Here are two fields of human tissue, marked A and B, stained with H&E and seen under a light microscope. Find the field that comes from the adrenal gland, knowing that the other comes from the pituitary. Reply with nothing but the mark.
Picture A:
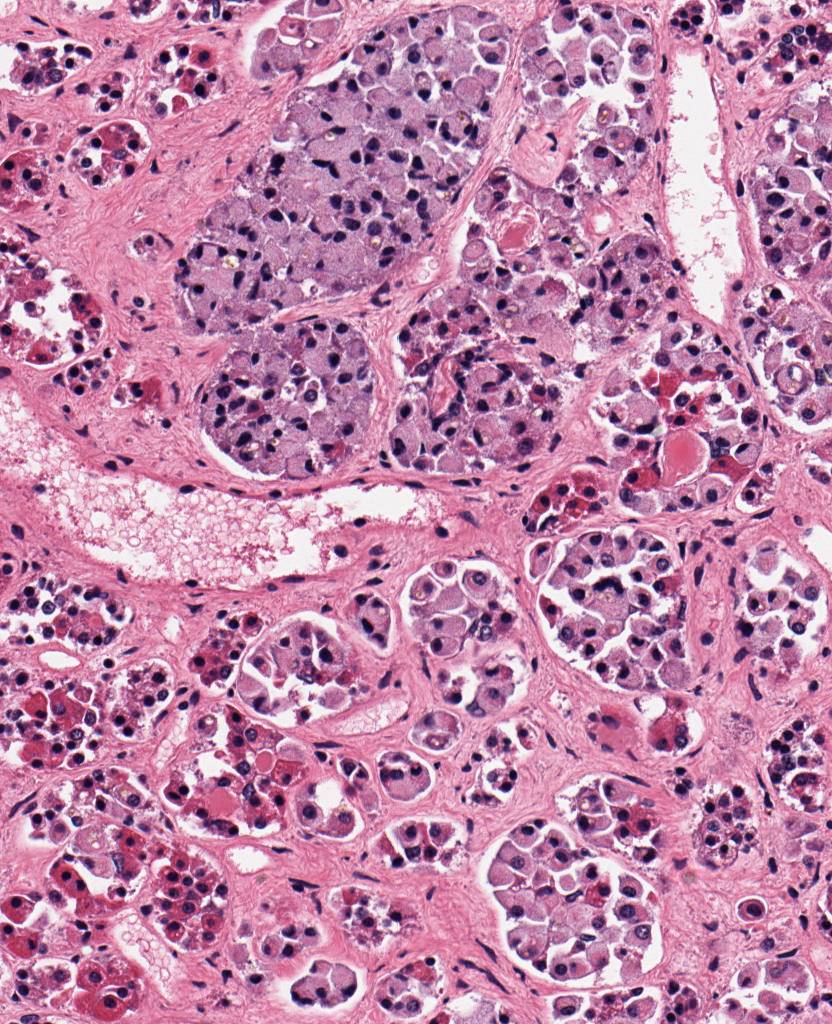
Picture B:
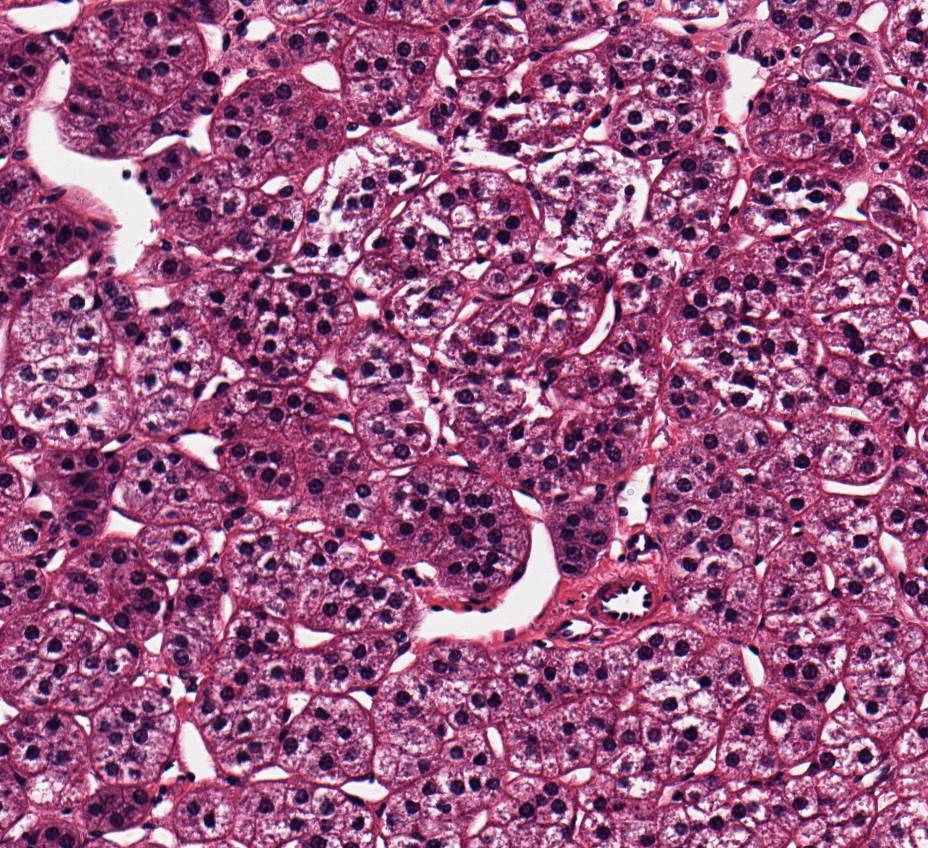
B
